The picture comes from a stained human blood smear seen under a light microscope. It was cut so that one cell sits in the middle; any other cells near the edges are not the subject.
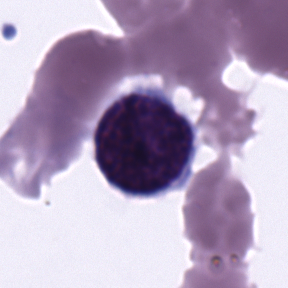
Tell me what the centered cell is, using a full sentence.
The cell that lies at the centre of the crop is a hairy cell.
